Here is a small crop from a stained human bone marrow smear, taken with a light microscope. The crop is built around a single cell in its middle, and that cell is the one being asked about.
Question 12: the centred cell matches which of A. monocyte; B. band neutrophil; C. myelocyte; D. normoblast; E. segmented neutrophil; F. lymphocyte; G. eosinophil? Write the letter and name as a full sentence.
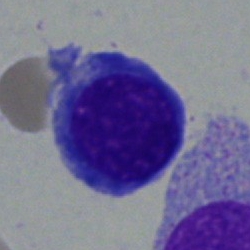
That cell in the center is a normoblast, hence option D.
